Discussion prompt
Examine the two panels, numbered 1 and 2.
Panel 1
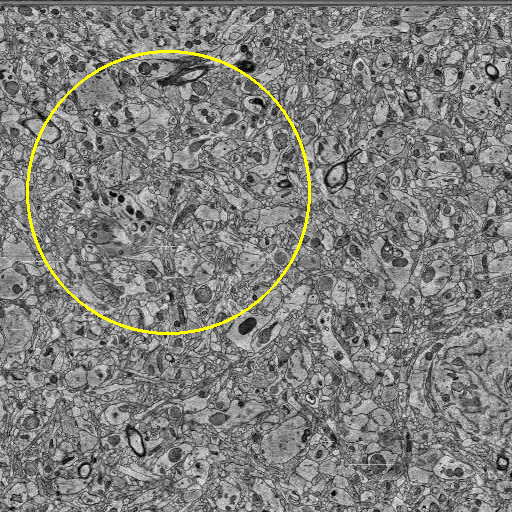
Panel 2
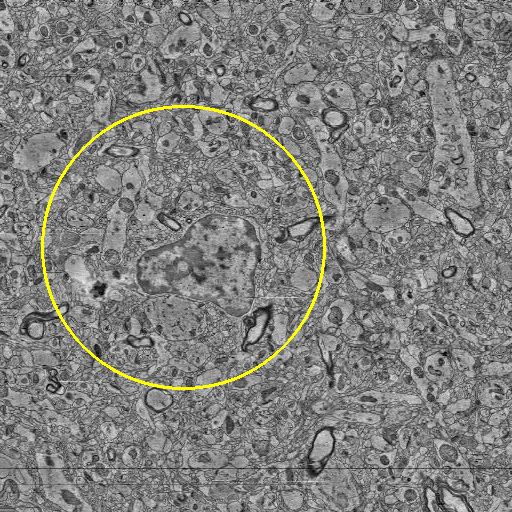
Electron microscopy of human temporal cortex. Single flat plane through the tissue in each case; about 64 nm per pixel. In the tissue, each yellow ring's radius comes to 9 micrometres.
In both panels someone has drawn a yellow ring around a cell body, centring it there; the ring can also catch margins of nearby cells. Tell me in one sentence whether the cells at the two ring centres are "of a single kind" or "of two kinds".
Taken together, the two cells centred in the rings of Panels 1 and 2 are of a single kind.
